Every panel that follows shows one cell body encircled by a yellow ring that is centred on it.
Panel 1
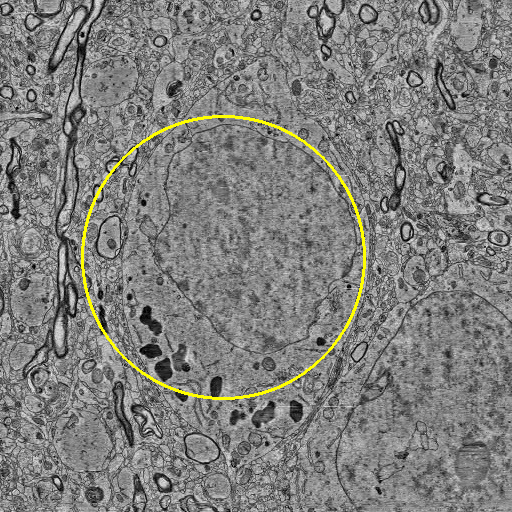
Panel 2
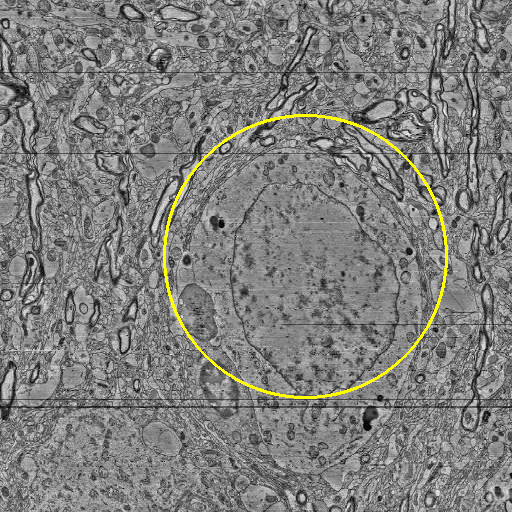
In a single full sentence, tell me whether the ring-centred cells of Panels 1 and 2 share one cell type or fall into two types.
In Panel 1 and Panel 2, the cells at the ring centres share one cell type.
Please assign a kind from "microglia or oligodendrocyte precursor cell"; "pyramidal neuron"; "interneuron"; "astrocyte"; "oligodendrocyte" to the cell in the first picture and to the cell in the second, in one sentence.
Each of the two pictures has a pyramidal neuron at the ring centre.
